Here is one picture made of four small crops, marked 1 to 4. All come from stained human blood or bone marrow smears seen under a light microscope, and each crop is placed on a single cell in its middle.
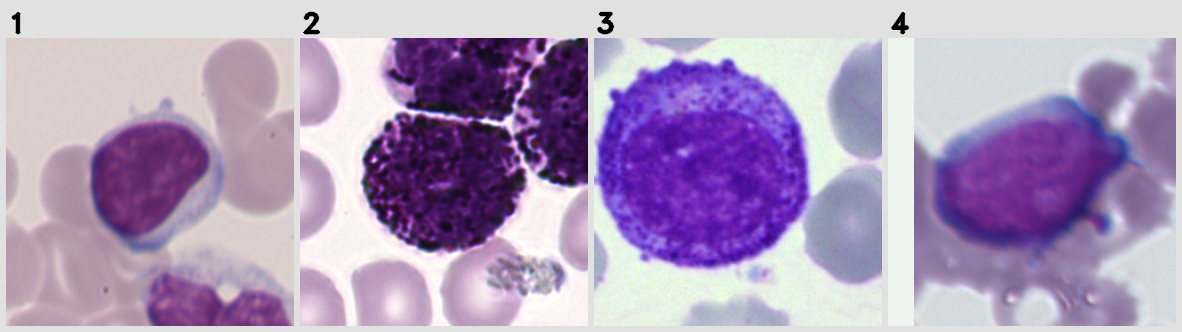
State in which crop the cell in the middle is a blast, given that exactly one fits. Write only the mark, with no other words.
4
